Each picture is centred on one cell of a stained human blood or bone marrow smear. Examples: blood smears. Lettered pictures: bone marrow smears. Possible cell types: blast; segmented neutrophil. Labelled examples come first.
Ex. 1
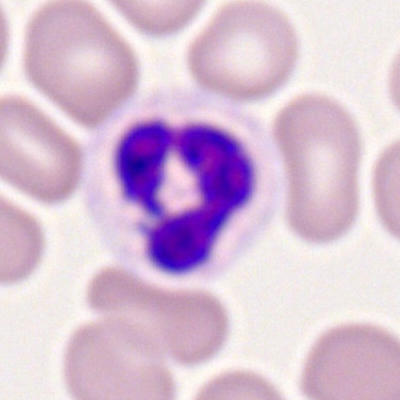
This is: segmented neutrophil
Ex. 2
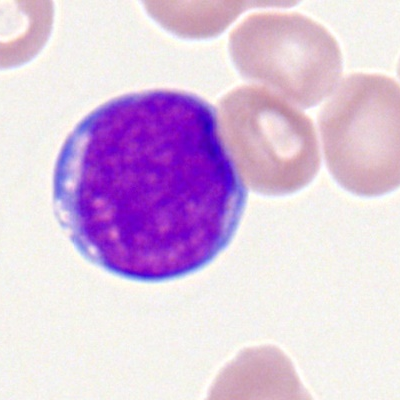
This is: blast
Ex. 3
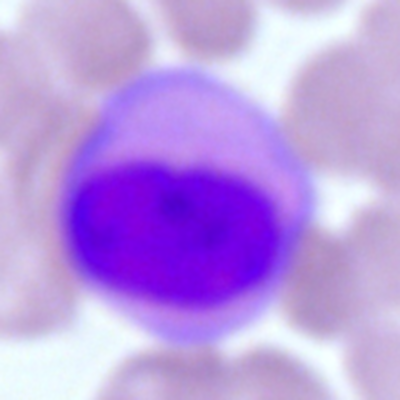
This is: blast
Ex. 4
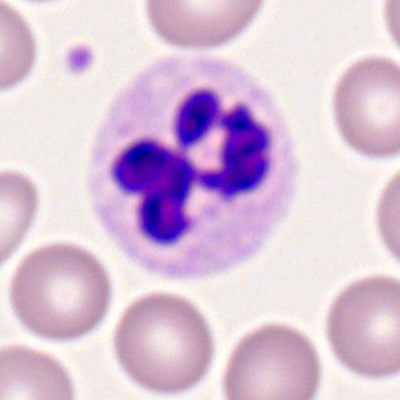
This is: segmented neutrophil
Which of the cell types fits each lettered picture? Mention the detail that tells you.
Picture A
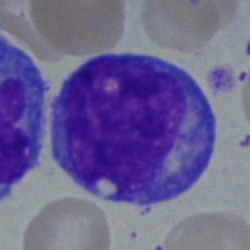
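blast: The nucleus fills most of the cell and lies toward the left side.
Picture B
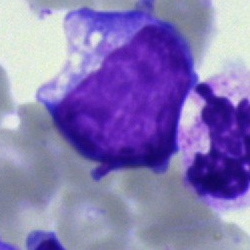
blast: The nucleus is large and fills most of the cell.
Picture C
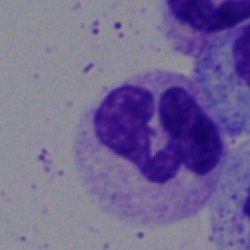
segmented neutrophil: The cytoplasm is plentiful and pale pinkish-lilac.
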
